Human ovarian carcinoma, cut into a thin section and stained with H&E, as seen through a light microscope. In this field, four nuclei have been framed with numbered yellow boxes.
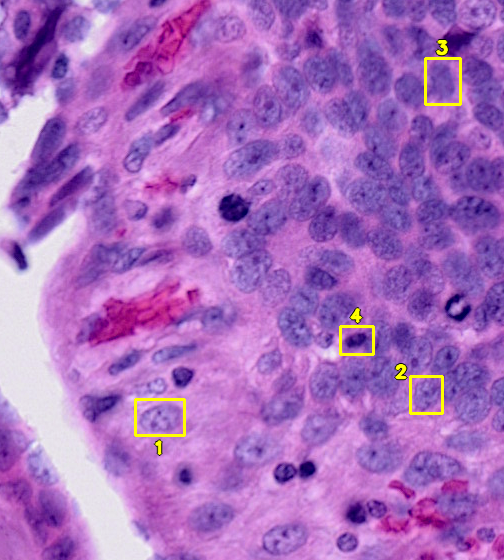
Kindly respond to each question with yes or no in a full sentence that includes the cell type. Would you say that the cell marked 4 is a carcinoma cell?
No, number 4 does not mark a carcinoma cell; it marks a lymphocyte.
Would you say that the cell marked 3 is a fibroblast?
No, the cell bearing number 3 is not a fibroblast but a carcinoma cell.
